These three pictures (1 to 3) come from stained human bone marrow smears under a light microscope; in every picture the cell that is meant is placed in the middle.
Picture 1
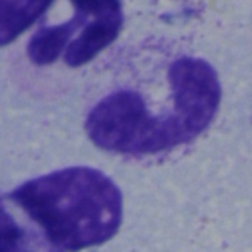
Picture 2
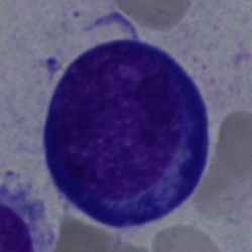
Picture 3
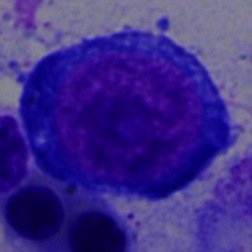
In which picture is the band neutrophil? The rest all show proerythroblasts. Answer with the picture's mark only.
1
